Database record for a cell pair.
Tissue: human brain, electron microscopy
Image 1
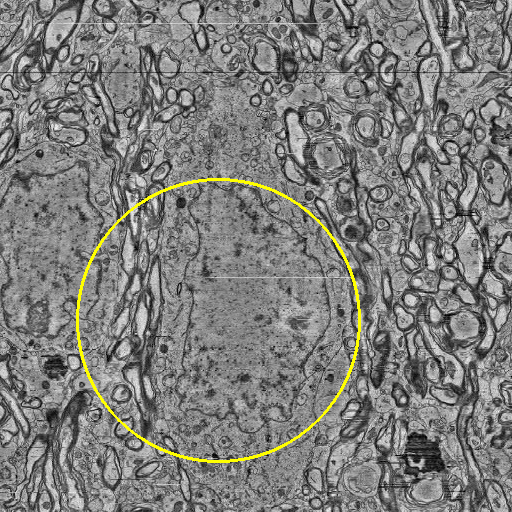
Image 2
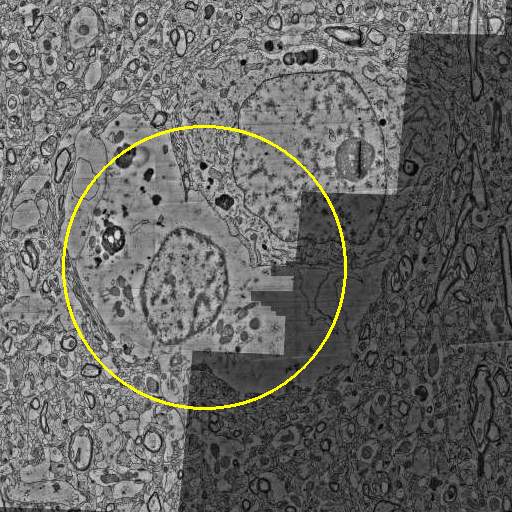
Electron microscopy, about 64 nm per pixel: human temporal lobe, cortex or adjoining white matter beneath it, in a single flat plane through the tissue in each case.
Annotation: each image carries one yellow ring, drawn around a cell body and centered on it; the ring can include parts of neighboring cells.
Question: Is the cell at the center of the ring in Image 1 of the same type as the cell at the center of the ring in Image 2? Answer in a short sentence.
No, the cells are of two types.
